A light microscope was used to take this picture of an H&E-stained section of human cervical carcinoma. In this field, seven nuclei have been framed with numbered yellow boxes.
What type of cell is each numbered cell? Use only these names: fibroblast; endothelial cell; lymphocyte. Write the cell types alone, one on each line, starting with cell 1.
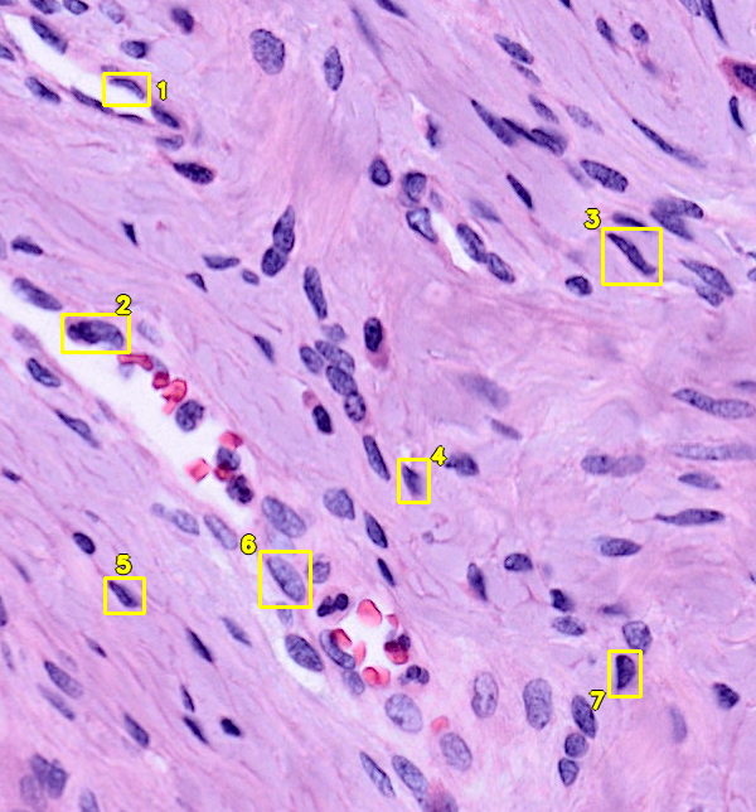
endothelial cell
endothelial cell
fibroblast
fibroblast
fibroblast
endothelial cell
fibroblast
